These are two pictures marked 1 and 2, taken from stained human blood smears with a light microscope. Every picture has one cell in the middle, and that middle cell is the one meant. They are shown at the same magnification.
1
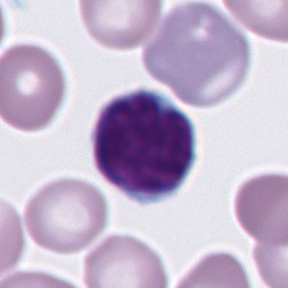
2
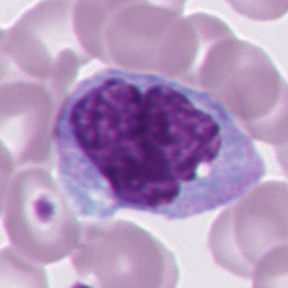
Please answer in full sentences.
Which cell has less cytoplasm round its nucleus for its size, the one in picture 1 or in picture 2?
The nucleus fills more of the cell in picture 1 than in picture 2.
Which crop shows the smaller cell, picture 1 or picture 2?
Picture 1 holds the smaller cell, since the cell in picture 2 covers about 2.5 times as much area.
